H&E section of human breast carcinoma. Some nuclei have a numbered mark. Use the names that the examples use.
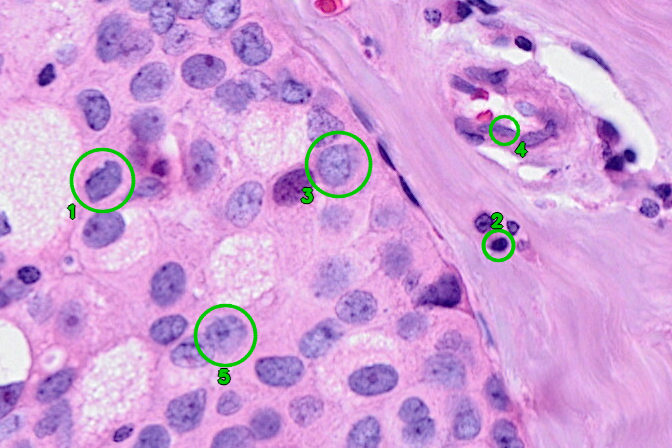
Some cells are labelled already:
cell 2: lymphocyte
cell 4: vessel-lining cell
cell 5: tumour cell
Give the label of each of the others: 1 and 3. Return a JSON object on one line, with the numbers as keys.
{"1": "tumour cell", "3": "tumour cell"}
